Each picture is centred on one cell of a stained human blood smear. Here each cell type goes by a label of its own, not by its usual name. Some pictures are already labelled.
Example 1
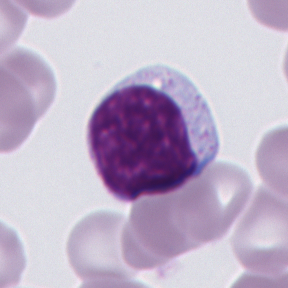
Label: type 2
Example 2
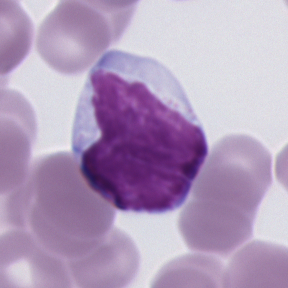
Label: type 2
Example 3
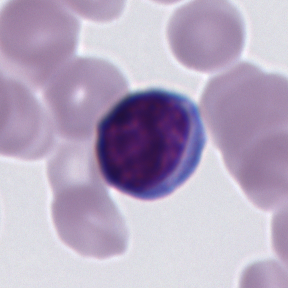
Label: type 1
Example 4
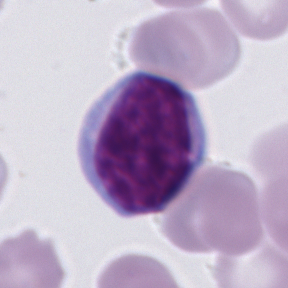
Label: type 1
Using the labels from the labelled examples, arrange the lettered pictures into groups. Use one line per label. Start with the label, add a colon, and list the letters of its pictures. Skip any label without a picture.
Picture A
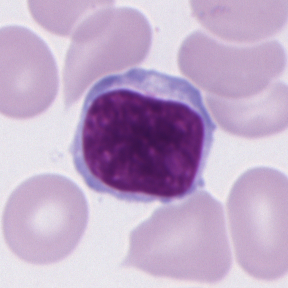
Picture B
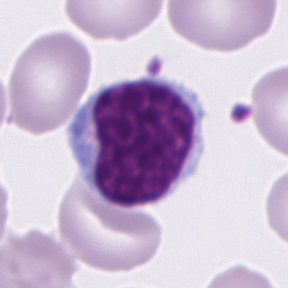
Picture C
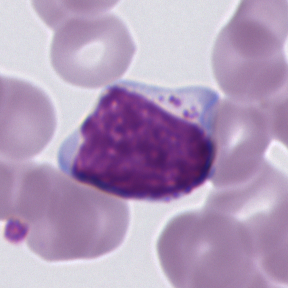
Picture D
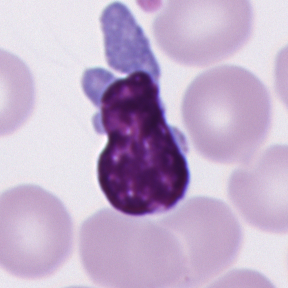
type 2: C
type 1: A, B, D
